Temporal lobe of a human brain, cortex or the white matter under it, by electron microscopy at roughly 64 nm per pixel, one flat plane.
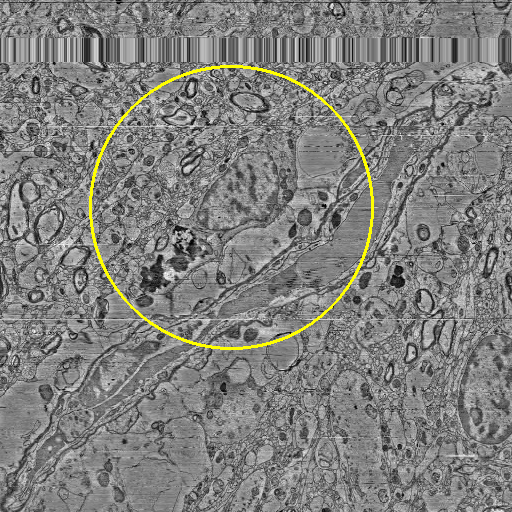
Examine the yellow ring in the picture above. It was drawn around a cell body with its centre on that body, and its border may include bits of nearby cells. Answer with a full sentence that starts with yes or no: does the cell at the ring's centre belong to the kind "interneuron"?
No, the cell at the heart of the ring shown in the image is a different kind of cell.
